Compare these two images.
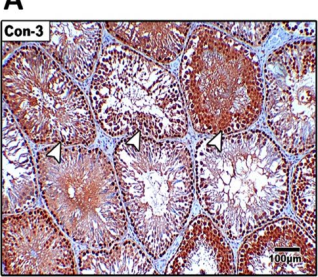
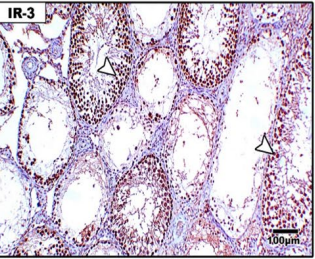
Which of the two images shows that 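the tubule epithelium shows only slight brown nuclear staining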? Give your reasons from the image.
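First image: tubules are filled with many strongly brown-stained nuclei.
The second image.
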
